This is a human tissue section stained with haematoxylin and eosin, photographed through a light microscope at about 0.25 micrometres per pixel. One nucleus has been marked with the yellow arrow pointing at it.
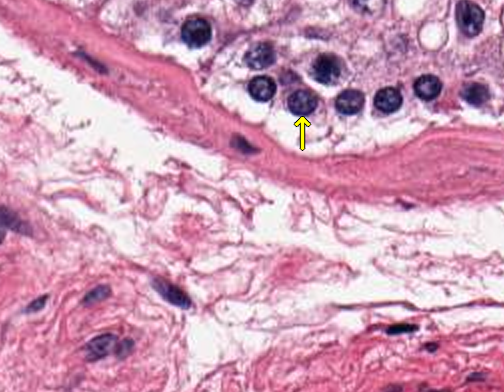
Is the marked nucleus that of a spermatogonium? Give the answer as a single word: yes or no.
yes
